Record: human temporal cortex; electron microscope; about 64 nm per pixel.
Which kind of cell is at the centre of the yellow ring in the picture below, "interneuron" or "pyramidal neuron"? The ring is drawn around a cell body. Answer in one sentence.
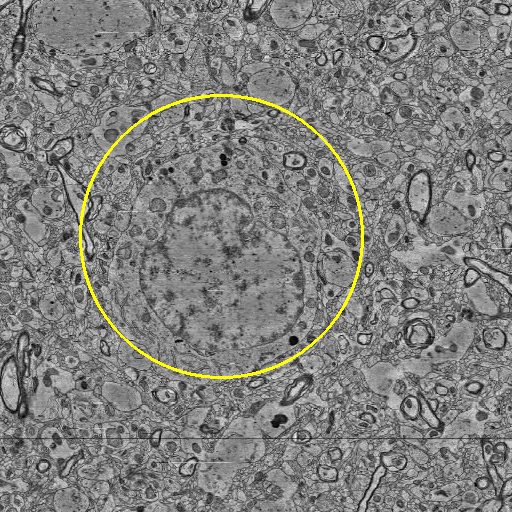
The ring's central cell is an interneuron.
